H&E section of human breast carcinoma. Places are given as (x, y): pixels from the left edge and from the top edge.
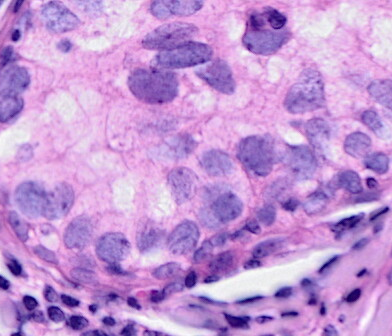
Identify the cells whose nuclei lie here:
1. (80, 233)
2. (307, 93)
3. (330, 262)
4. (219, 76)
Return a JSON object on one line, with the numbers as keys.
{"1": "carcinoma cell", "2": "carcinoma cell", "3": "lymphocyte", "4": "carcinoma cell"}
